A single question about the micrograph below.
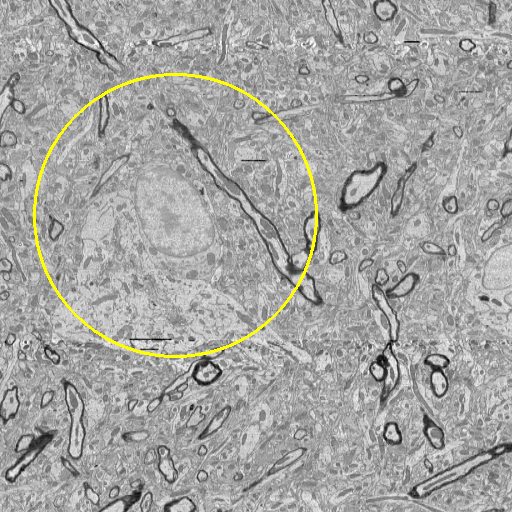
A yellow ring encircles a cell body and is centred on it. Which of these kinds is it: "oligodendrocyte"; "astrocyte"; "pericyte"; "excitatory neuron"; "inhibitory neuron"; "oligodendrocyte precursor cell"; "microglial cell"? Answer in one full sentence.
The cell body at the centre of the yellow ring belongs to an oligodendrocyte.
